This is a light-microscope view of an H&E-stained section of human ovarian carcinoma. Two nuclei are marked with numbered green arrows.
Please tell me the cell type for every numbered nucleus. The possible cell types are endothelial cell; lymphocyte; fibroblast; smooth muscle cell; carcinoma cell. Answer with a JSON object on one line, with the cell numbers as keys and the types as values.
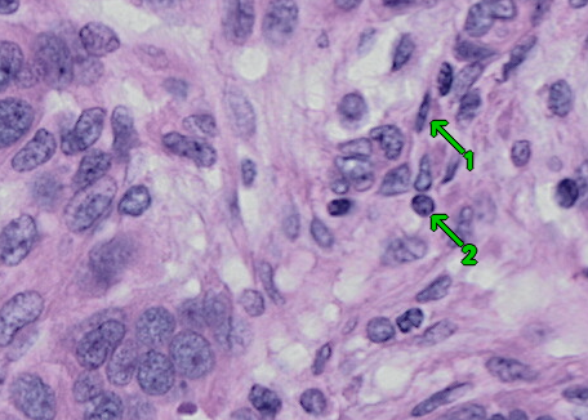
{"1": "fibroblast", "2": "lymphocyte"}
